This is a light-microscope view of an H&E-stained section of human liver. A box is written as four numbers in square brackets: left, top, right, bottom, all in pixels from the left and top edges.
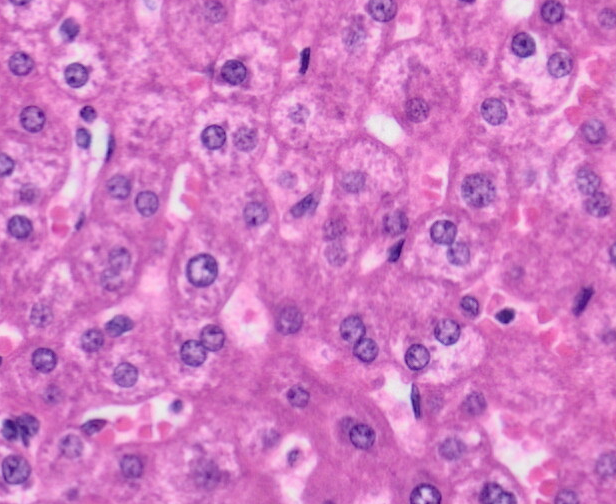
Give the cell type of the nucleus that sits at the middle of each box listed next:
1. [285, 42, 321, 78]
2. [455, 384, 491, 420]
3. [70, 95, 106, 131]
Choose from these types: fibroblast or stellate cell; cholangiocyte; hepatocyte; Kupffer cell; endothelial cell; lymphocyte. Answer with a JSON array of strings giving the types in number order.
["endothelial cell", "hepatocyte", "lymphocyte"]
